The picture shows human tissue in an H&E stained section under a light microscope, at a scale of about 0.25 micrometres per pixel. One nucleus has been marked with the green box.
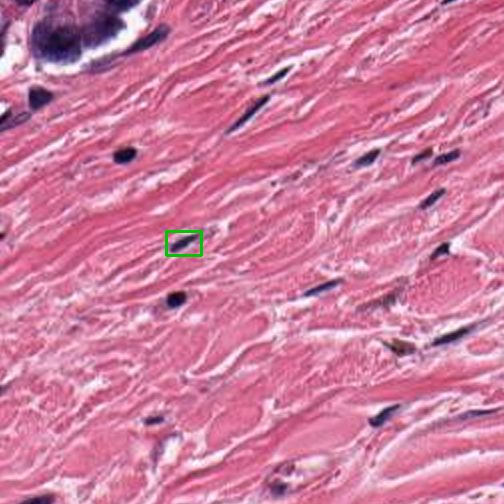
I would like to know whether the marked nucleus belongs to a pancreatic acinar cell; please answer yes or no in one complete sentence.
No, the marked nucleus, rather than belonging to a pancreatic acinar cell, belongs to a supporting cell.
